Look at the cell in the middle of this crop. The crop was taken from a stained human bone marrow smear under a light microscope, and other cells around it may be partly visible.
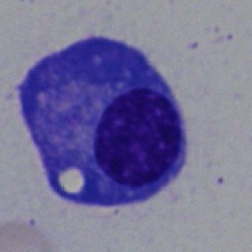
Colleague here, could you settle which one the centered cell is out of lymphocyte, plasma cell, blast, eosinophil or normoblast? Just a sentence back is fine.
The cell featured at the centre of this crop is a plasma cell.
